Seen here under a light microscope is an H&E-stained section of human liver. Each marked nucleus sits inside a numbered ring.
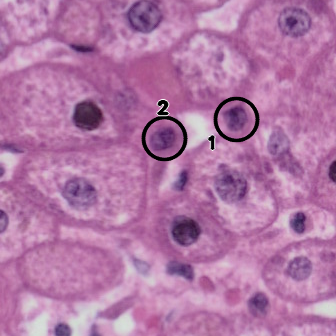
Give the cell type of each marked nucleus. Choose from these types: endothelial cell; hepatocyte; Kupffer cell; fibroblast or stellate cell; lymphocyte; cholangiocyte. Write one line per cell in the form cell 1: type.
cell 1: endothelial cell
cell 2: Kupffer cell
